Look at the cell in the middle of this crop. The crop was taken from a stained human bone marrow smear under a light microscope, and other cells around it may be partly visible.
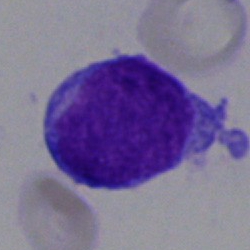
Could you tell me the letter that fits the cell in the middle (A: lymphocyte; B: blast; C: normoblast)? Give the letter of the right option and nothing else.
B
